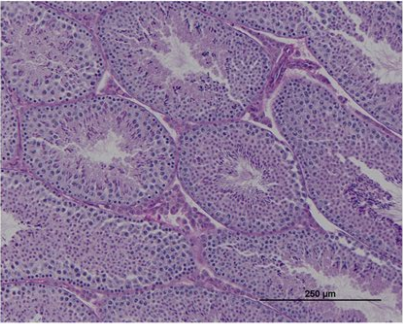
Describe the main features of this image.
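This is testis tissue cut across many seminiferous tubules, which appear as round and oval profiles packed tightly against one another. Each tubule is lined by a thick wall of many layers of cells with dark purple nuclei, stacked from the outer edge toward the middle. At the centre of most tubules a small pale lumen is seen, in some containing fine wispy material. Between neighbouring tubules lie only narrow strips of tissue with a few cells and small vessels. The tubule outlines are sharply defined by thin pink borders.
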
